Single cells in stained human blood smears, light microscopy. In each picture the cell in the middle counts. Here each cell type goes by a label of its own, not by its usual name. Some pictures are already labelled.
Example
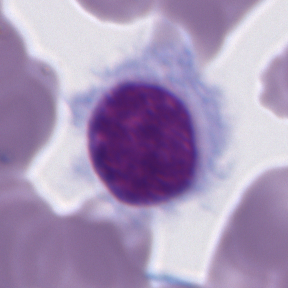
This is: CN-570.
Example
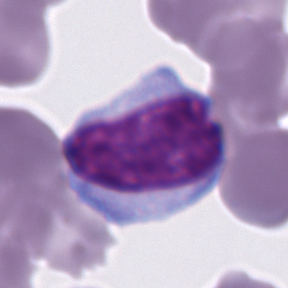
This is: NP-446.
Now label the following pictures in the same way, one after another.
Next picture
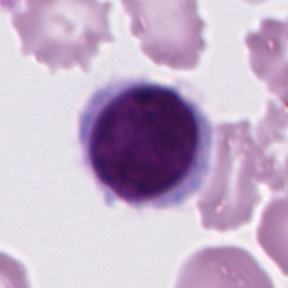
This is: CN-570.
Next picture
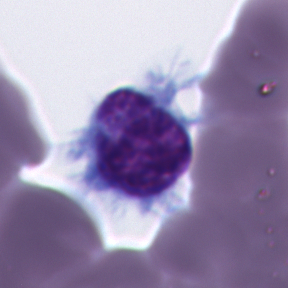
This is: CN-570.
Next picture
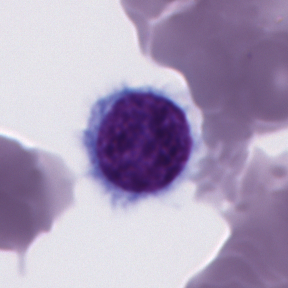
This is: CN-570.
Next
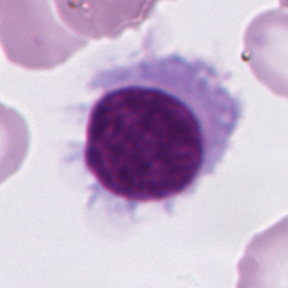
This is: CN-570.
